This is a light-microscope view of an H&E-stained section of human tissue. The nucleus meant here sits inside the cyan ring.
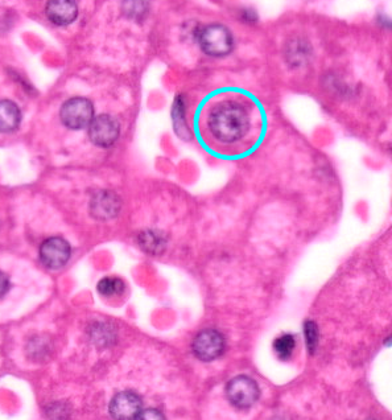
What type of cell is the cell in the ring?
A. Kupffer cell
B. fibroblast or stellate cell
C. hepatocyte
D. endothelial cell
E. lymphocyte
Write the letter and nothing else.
C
